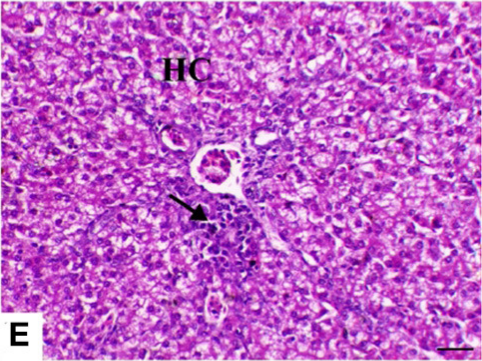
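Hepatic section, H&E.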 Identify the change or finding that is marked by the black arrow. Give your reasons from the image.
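A small group of cells with dark round nuclei lies next to a vessel. The group is small compared with the surrounding liver tissue.
Mild periportal mononuclear cell infiltration.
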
